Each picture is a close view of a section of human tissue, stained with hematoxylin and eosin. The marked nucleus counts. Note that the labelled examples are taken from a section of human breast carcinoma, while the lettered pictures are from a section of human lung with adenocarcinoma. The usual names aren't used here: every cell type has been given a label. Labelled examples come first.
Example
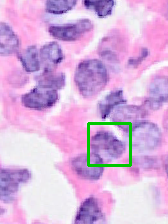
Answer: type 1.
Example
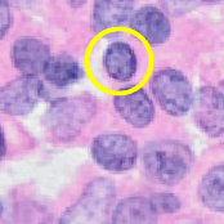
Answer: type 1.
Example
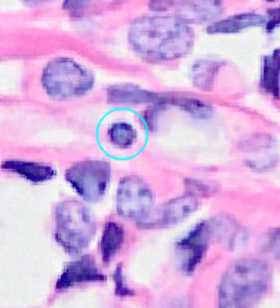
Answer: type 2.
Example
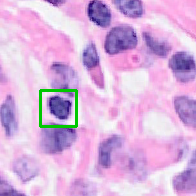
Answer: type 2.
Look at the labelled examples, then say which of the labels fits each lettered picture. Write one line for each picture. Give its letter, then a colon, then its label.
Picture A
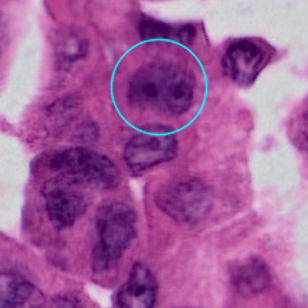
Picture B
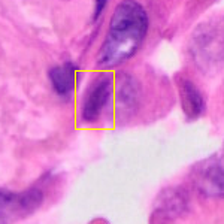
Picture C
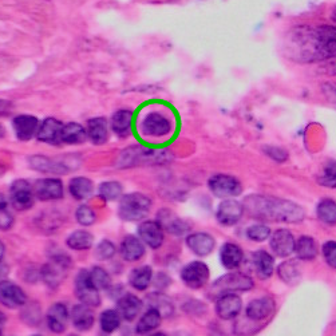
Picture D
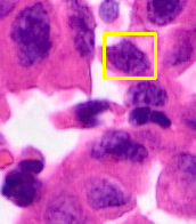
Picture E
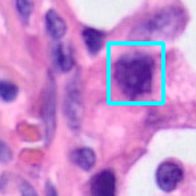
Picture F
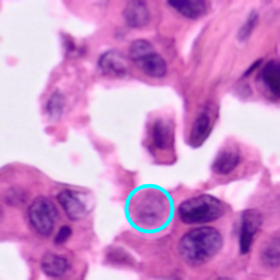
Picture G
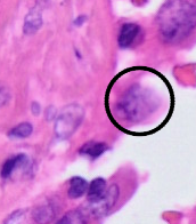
A: type 1.
B: type 1.
C: type 2.
D: type 1.
E: type 1.
F: type 1.
G: type 1.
